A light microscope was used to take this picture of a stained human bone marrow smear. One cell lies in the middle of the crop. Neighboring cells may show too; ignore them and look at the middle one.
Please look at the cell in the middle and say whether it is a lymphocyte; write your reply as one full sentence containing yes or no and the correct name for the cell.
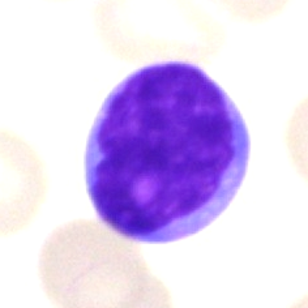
Yes, in this crop the cell in the middle is a lymphocyte.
